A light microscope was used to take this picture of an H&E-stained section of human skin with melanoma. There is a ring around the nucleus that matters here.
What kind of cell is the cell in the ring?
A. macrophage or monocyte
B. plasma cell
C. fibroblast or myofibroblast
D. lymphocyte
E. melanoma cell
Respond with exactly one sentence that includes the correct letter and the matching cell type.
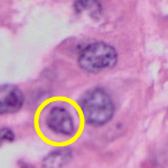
Under option E, the cell in the ring is listed as a melanoma cell, which is correct.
